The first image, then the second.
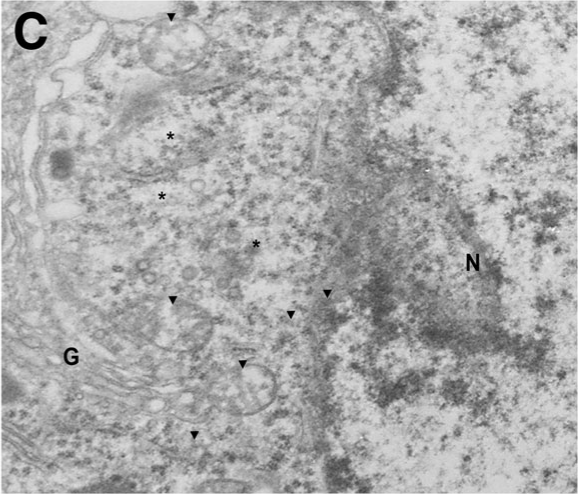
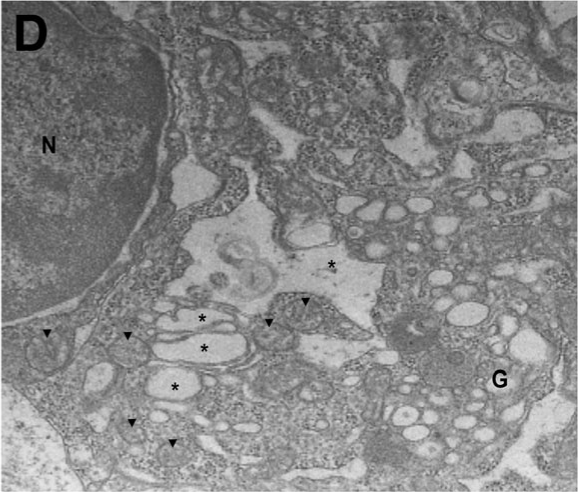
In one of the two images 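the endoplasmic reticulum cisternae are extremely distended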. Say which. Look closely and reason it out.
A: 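First image: the cytoplasm shows mostly narrow membrane profiles and small vesicles, without large clear spaces. Second image: the cytoplasm is filled with many wide, clear, rounded and irregular membrane-bounded spaces.
Hence: the second image.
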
